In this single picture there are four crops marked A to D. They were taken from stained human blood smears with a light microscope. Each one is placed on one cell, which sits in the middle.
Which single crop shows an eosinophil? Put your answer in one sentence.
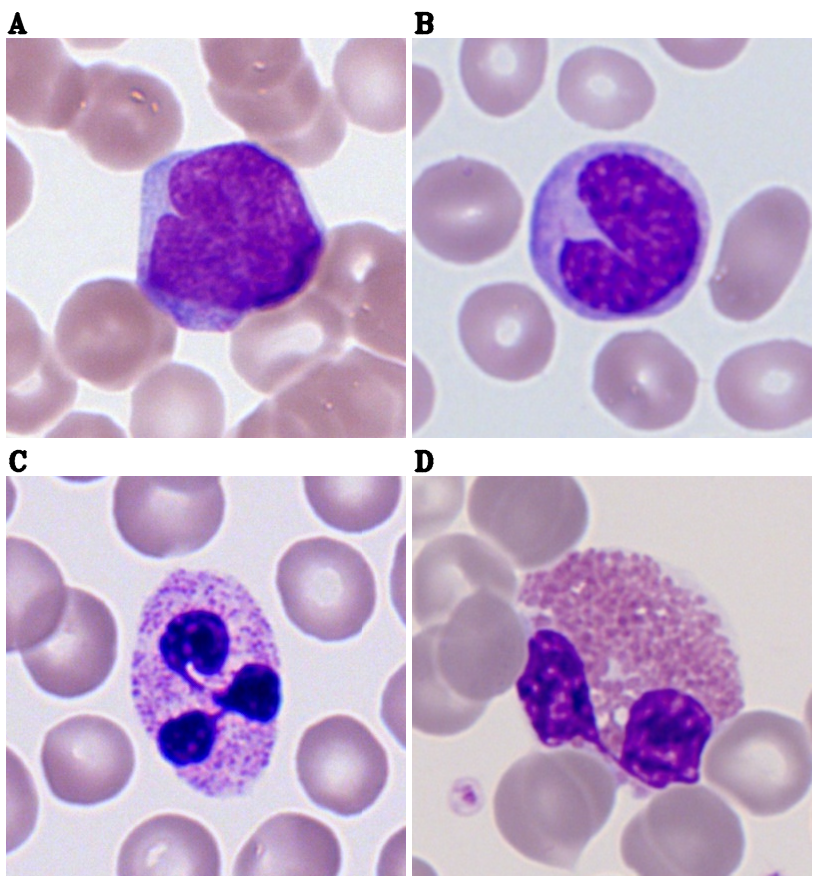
Crop D matches the request, showing an eosinophil.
